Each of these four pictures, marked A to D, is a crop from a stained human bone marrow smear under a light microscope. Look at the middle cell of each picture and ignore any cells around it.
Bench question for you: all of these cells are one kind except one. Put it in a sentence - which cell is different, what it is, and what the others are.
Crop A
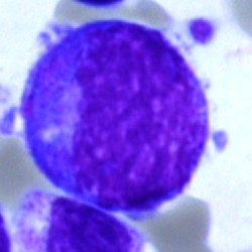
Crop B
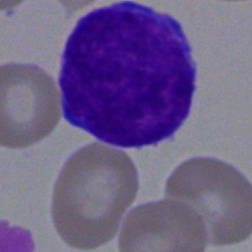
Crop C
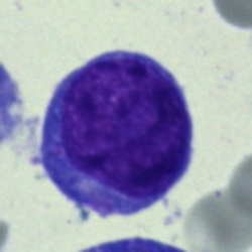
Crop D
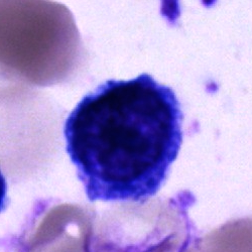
The odd one out is crop A, a promyelocyte, and all other crops show blasts.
